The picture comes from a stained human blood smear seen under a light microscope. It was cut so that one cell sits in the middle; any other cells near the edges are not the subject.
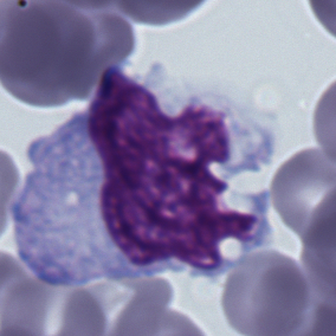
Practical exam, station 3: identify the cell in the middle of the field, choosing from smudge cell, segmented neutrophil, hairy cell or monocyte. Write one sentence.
The cell found in the middle of this crop is a monocyte.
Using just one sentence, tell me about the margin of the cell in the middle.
The border of the cell is irregular, being either ragged or extended into projections.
